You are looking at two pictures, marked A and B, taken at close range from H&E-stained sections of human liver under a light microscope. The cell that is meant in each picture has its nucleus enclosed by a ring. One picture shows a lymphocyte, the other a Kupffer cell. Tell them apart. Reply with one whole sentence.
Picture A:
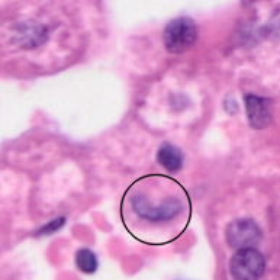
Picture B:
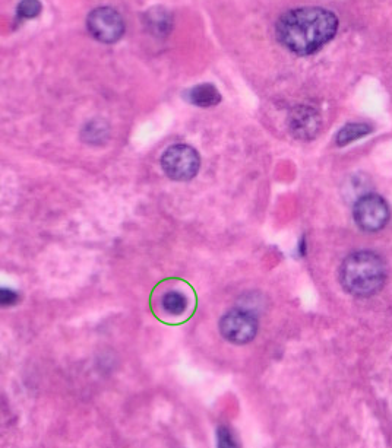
The cell in picture A is a Kupffer cell, and the one in picture B is a lymphocyte.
